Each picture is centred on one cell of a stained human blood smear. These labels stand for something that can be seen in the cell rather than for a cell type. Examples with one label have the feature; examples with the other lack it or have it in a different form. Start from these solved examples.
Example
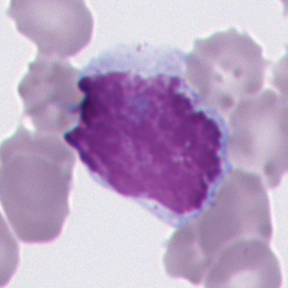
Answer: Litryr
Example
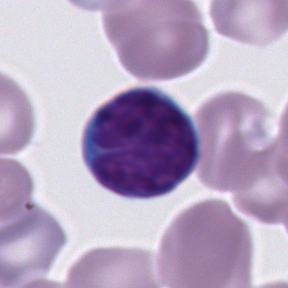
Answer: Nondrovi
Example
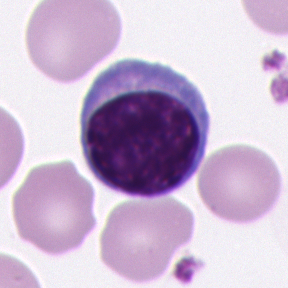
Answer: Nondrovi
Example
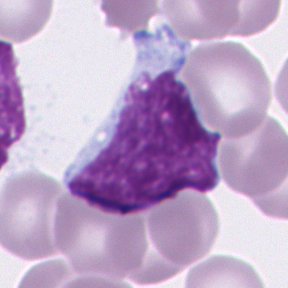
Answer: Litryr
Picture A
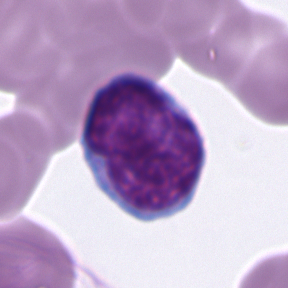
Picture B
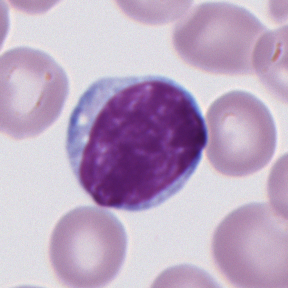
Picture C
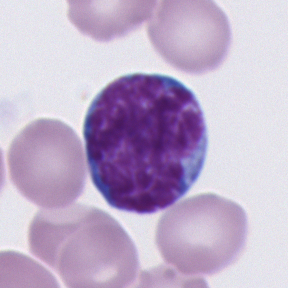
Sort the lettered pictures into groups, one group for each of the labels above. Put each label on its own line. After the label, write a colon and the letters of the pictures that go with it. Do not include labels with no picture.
Nondrovi: A, B, C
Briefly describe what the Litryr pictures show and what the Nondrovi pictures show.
In Litryr: ragged outline or projections. In Nondrovi: smooth outline.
